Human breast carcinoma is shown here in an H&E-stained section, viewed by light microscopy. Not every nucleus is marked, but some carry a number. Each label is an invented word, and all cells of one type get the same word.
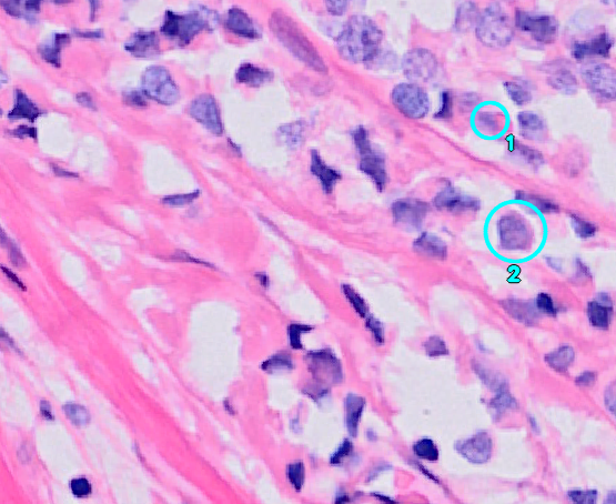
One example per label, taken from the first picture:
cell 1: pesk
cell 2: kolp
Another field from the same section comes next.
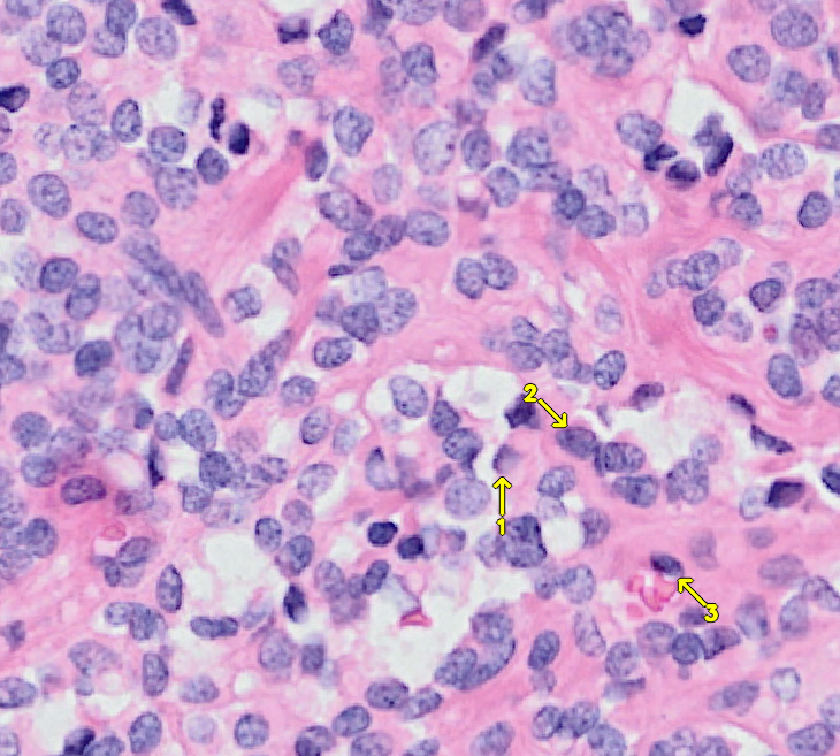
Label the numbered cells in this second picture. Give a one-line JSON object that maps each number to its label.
{"1": "kolp", "2": "kolp", "3": "pesk"}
